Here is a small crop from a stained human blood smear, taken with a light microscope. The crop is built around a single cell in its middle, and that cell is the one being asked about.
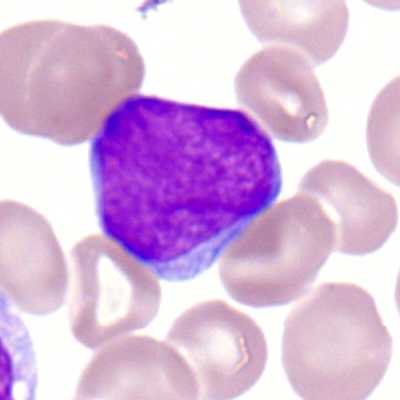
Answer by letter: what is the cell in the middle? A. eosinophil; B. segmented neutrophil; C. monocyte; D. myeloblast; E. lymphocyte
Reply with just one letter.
D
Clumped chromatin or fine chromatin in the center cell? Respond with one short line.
The key point is fine chromatin with no coarse clumps.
